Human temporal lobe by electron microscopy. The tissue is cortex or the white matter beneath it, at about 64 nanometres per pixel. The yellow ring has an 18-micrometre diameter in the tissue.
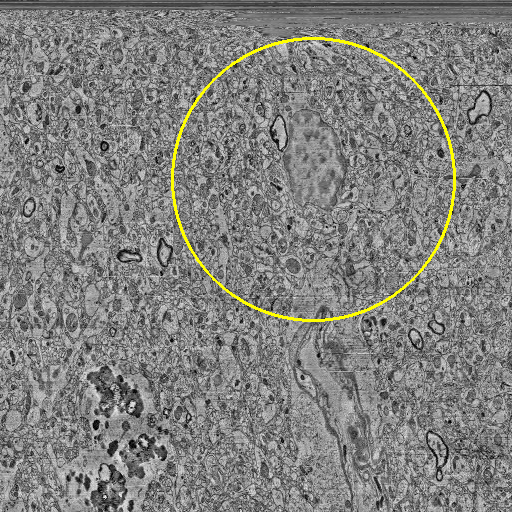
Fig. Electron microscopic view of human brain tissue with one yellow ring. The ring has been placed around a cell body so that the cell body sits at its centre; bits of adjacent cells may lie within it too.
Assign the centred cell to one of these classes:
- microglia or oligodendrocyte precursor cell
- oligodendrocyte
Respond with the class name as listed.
oligodendrocyte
